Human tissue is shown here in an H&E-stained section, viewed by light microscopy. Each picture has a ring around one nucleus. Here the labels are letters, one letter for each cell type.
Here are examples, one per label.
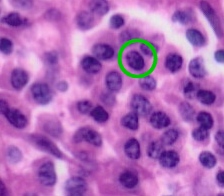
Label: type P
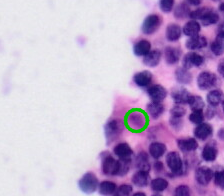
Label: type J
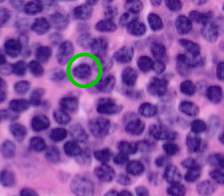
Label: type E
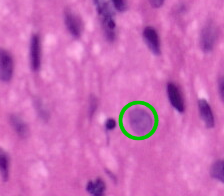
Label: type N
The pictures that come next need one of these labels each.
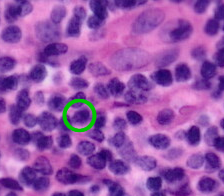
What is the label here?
type E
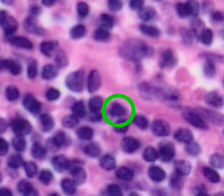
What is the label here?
type E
